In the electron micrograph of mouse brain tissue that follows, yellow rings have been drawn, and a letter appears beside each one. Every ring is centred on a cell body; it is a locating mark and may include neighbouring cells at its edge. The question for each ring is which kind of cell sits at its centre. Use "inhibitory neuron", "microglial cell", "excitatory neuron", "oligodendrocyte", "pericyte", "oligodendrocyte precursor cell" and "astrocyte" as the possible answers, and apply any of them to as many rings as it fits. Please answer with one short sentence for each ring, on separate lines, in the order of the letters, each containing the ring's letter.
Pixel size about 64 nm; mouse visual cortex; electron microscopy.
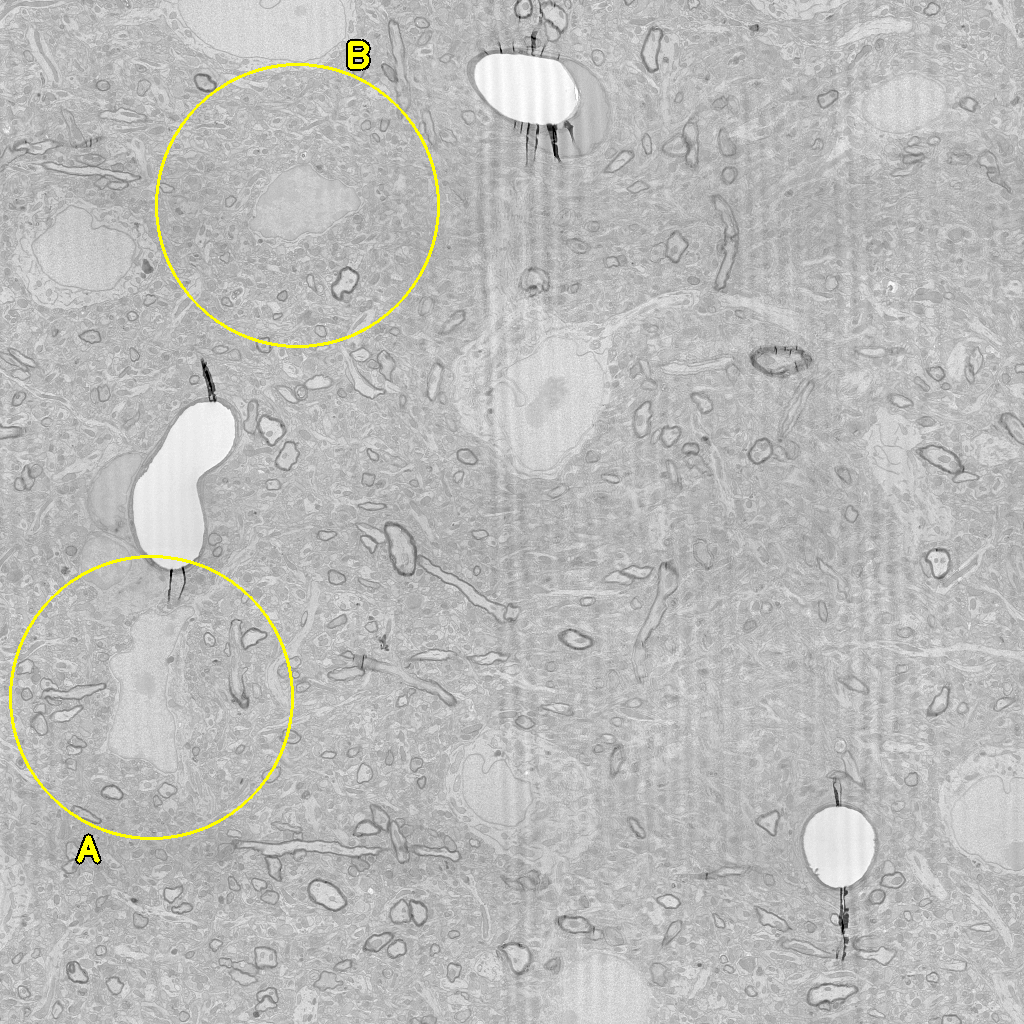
Sitting at the centre of ring A is an oligodendrocyte precursor cell.
Sitting at the centre of ring B is a microglial cell.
